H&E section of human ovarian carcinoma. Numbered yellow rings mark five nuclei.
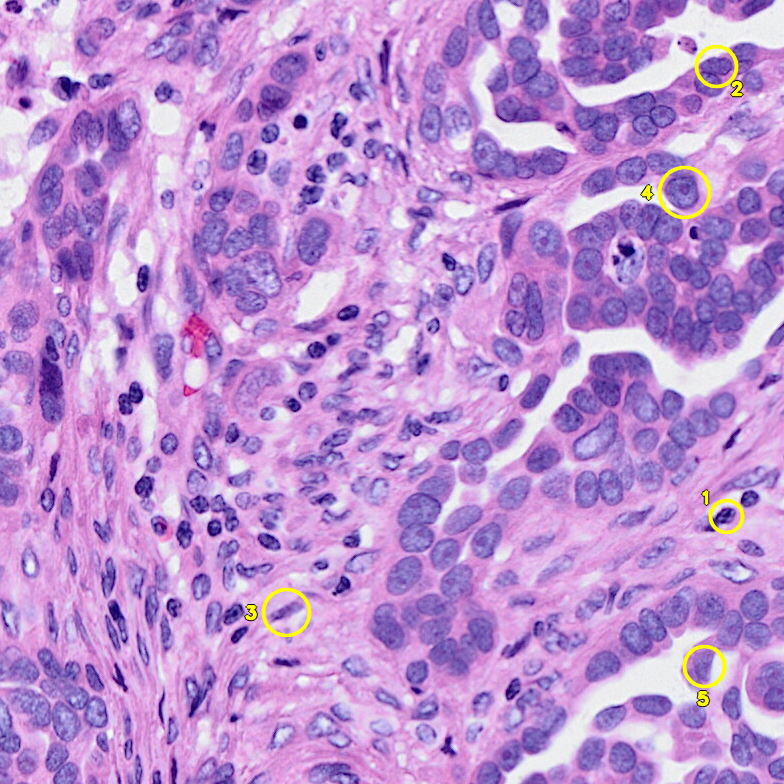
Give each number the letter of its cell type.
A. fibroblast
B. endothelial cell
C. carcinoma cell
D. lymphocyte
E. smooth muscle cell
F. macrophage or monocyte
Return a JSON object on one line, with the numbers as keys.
{"1": "D", "2": "C", "3": "A", "4": "C", "5": "C"}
